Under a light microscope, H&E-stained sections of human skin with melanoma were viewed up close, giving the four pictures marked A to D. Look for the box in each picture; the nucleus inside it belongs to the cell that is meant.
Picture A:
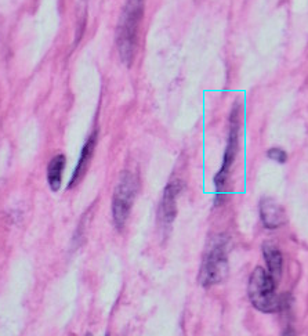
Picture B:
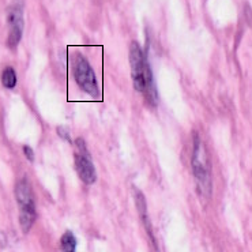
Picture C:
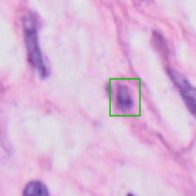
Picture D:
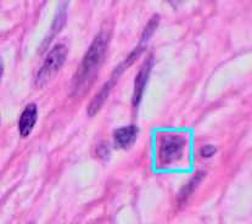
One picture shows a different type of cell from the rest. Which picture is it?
A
